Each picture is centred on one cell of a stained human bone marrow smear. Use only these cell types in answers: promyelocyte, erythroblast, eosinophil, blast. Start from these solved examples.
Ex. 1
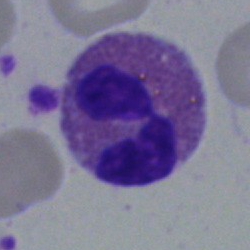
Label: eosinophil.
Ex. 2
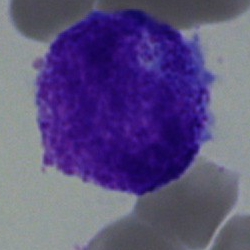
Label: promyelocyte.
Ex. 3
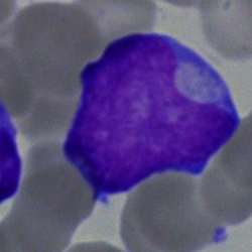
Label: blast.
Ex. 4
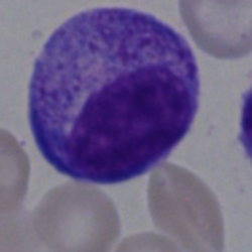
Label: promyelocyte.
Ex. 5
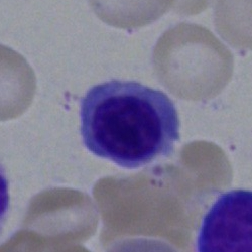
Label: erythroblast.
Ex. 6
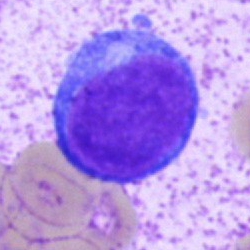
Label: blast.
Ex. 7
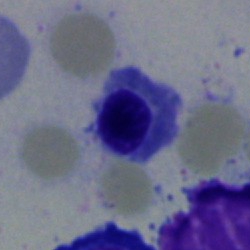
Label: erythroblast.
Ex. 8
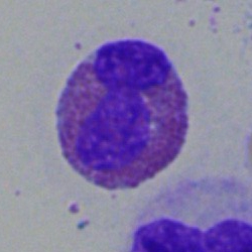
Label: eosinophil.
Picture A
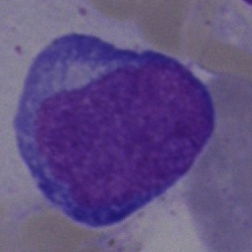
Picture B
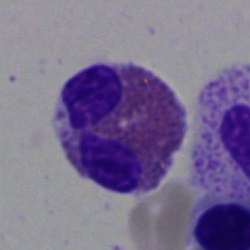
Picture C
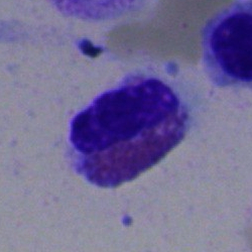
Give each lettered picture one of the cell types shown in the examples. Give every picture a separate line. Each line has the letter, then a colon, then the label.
A: blast.
B: eosinophil.
C: eosinophil.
